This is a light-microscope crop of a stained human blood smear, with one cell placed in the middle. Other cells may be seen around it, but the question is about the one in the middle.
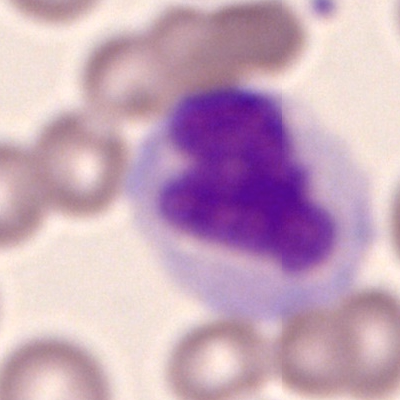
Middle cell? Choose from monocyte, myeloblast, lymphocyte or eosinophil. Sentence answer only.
The cell at the central position in this crop is a monocyte.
